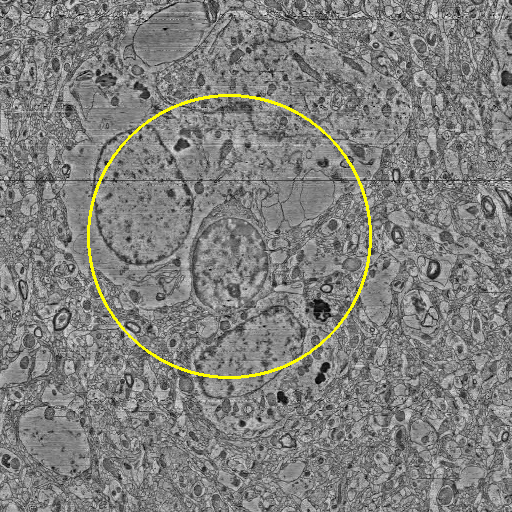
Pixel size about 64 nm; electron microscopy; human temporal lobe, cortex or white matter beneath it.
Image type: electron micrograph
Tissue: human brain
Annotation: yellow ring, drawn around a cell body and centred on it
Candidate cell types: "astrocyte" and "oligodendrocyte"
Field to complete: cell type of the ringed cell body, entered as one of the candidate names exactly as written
oligodendrocyte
